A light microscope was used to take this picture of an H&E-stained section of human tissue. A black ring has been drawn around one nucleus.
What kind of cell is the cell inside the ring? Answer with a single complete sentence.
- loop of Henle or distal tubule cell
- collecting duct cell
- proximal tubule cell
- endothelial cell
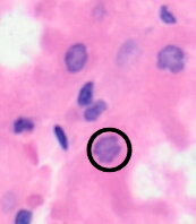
By cell type, the cell inside the ring is a proximal tubule cell.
